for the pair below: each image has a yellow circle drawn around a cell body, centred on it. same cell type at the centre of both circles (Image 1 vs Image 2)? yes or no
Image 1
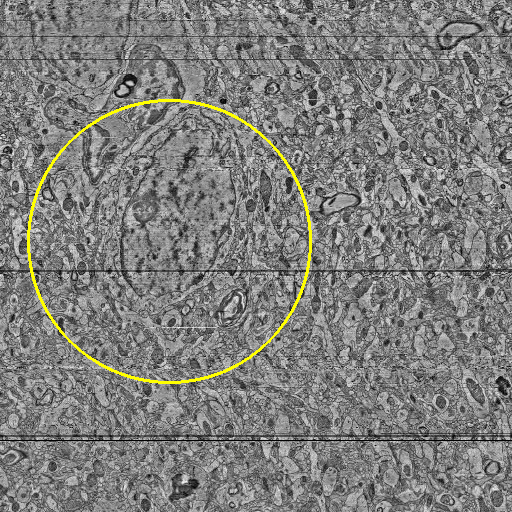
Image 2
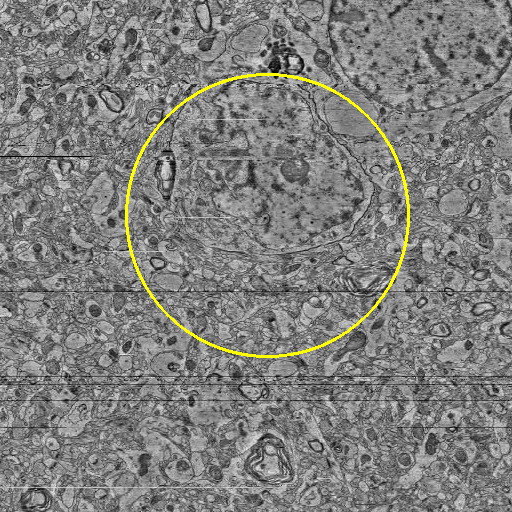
yes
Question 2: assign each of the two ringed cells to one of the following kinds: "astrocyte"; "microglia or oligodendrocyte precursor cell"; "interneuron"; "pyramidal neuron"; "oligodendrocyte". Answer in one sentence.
In each picture the ringed cell is an interneuron.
